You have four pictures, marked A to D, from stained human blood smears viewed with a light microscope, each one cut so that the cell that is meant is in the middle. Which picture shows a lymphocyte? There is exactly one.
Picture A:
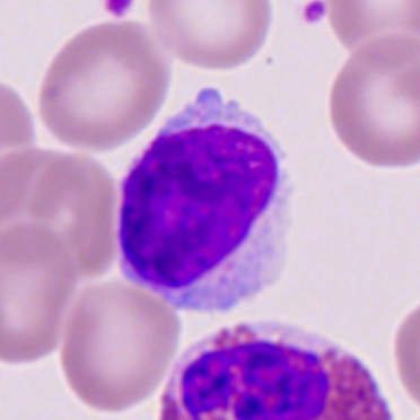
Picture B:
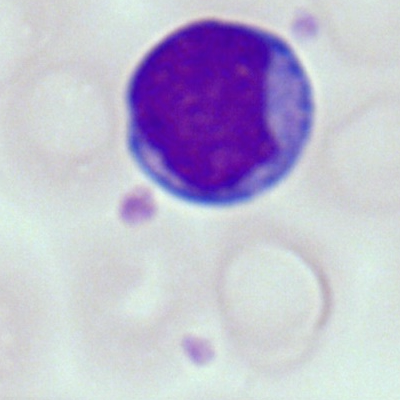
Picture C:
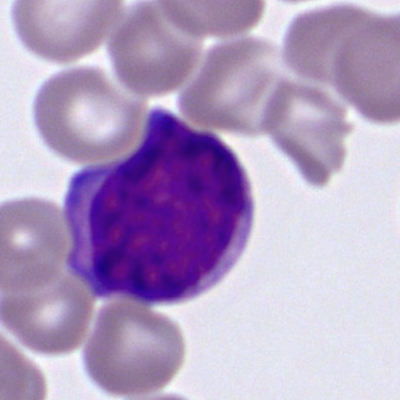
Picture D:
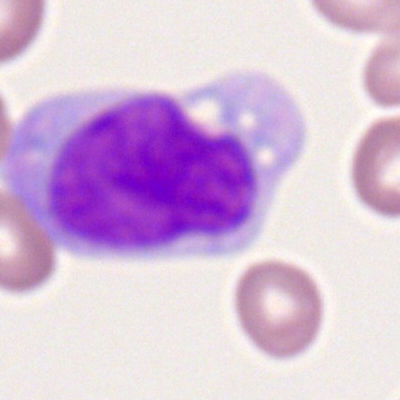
A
